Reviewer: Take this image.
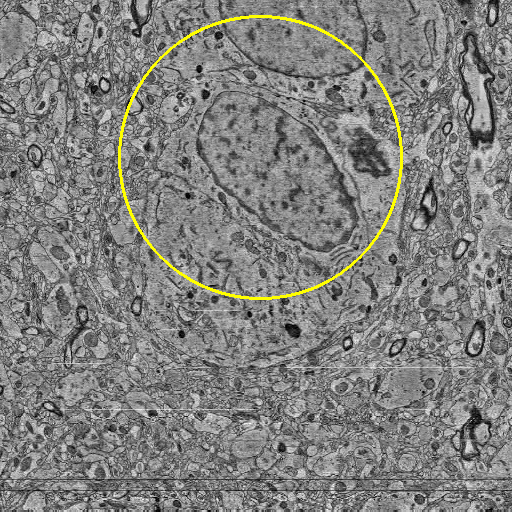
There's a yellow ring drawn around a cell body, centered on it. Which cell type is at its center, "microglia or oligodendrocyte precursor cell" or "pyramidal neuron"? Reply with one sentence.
At the center of the yellow ring is a microglial cell or oligodendrocyte precursor cell.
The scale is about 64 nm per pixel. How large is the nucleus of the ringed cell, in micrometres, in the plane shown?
Approximately 12 micrometres long and 7 micrometres wide, so clearly longer than it is wide in this plane.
